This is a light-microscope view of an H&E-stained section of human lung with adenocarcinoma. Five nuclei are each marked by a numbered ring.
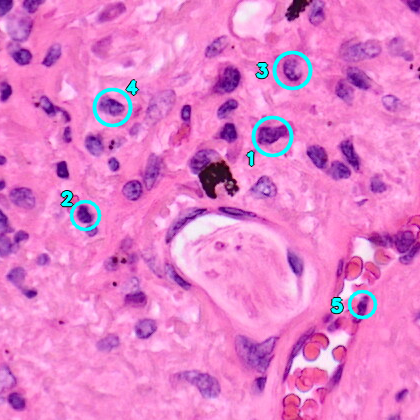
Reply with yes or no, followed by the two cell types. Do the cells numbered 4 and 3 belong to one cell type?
No, cell number 4 is a lymphocyte, and cell number 3 is a plasma cell.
